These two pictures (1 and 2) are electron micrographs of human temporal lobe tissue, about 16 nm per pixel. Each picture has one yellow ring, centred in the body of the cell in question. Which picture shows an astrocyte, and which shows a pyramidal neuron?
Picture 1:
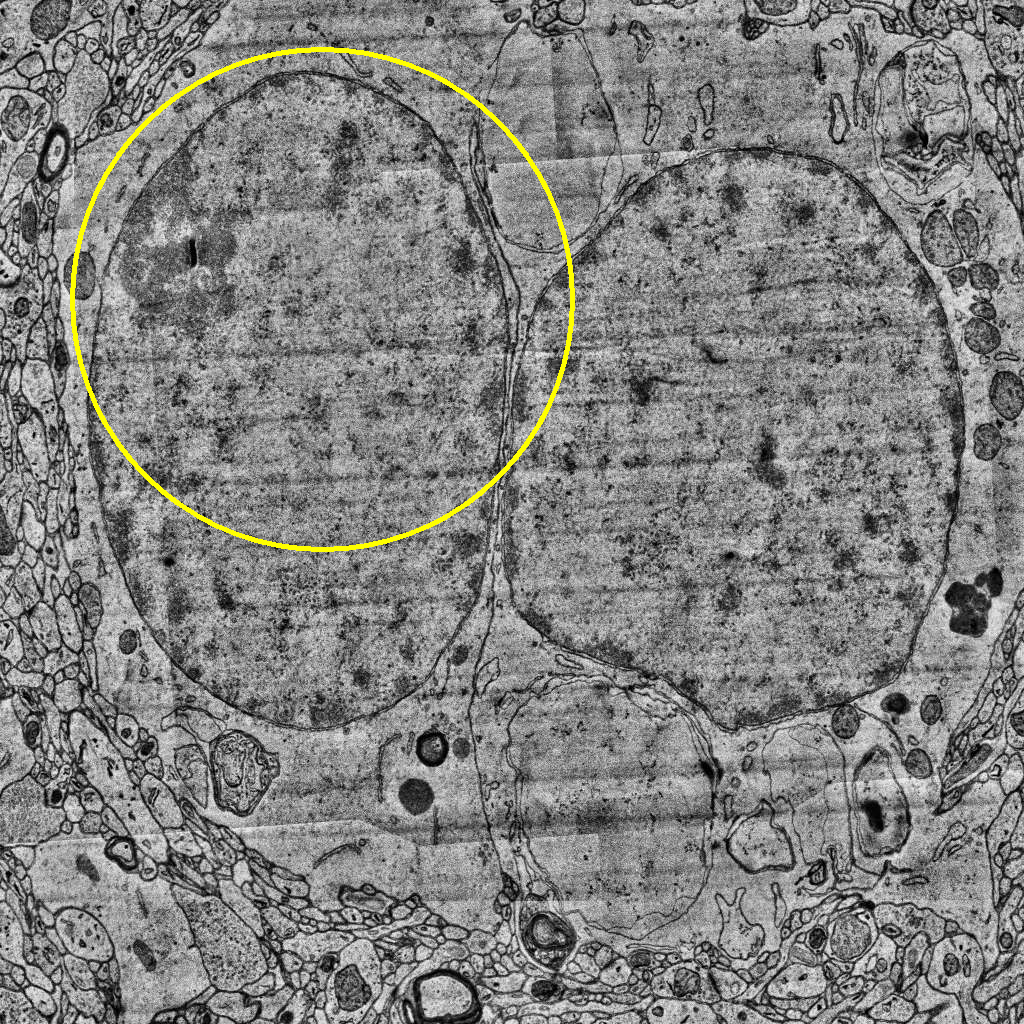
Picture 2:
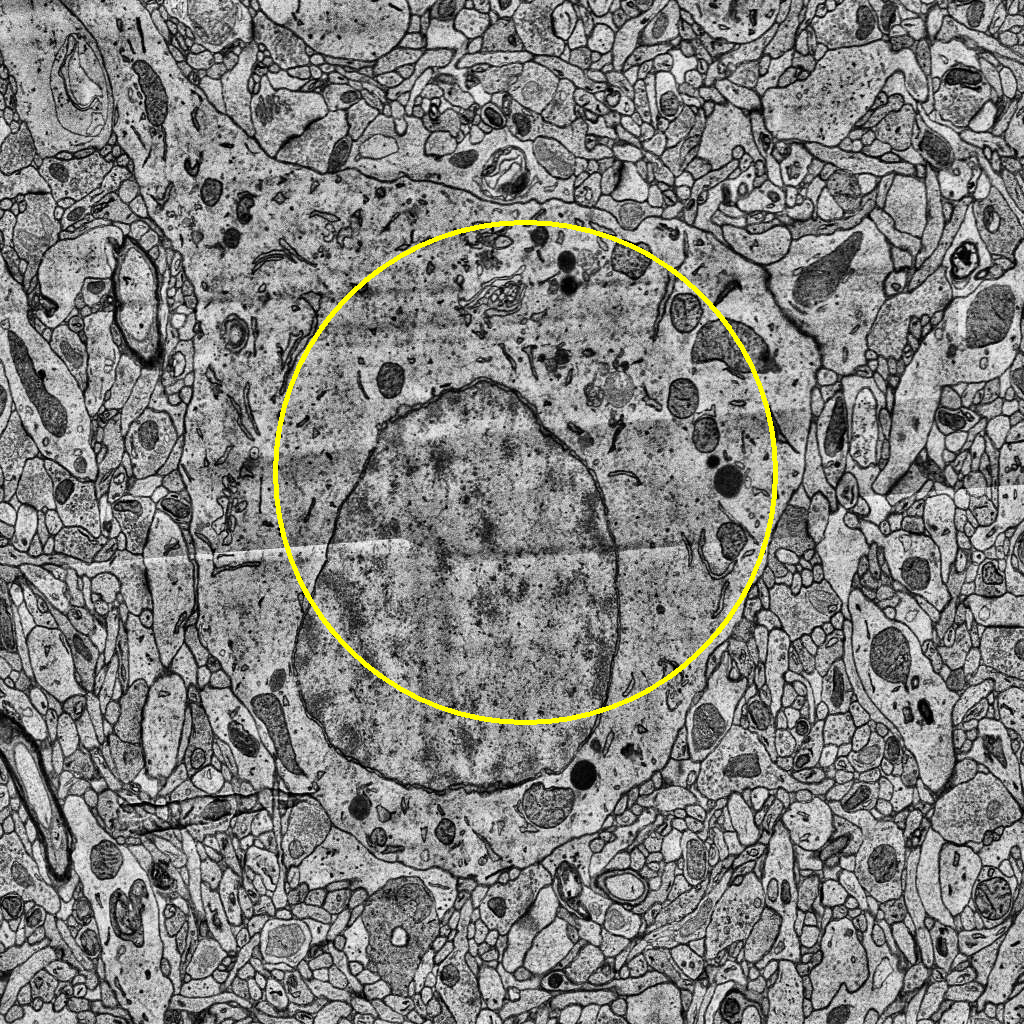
Picture 1 is of an astrocyte, and picture 2 is of a pyramidal neuron.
